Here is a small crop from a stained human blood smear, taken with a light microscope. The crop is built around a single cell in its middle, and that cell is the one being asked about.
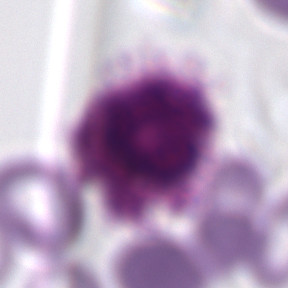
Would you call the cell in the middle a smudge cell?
yes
